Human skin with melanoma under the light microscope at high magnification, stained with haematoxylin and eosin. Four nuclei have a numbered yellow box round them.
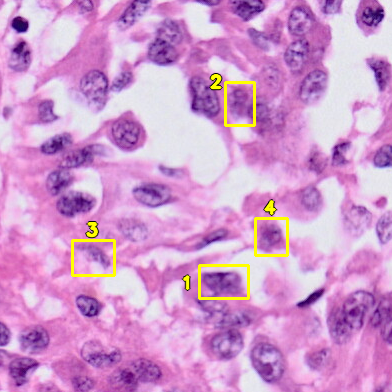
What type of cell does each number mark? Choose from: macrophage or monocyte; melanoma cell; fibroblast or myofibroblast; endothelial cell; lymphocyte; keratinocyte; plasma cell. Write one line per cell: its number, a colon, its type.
1: melanoma cell
2: melanoma cell
3: fibroblast or myofibroblast
4: melanoma cell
